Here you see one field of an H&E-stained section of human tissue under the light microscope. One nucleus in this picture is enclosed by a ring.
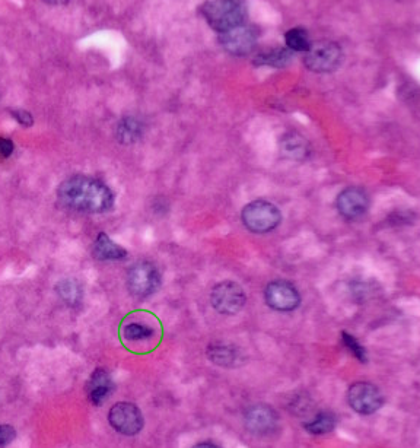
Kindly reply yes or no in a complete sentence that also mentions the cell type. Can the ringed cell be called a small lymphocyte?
No, mark the ringed cell as a fibroblast or stellate cell, not as a small lymphocyte.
